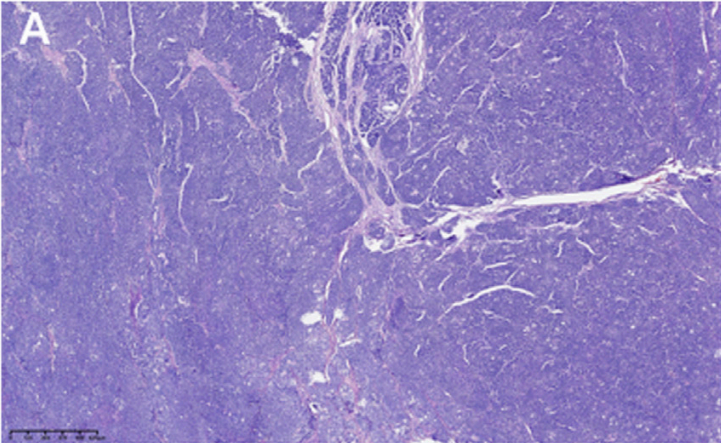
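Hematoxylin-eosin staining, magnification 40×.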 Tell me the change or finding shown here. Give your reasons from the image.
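A large sheet of densely cellular purple tissue fills the field. Thin pale fibrous strands run irregularly through it, dividing it into irregular regions. On this evidence: map-like tumor.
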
